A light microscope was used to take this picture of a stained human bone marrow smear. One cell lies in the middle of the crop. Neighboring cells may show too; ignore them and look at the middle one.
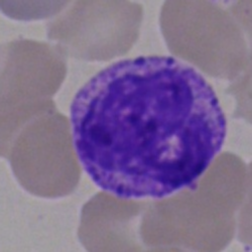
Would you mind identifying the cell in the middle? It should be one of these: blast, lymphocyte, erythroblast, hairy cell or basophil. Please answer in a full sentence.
Here the cell in the middle is a basophil.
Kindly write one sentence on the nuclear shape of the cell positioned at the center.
Its nucleus is compact and single, with a round, oval or kidney-shaped form.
